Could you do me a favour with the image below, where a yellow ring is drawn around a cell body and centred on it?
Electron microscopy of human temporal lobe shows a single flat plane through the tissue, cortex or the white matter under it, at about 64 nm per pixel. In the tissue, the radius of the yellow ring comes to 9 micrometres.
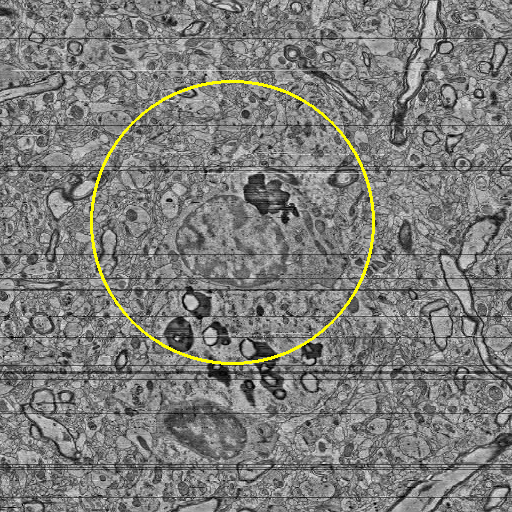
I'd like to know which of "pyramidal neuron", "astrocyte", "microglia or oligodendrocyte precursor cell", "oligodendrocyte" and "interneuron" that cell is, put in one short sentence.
The cell at the ring's centre is an oligodendrocyte.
